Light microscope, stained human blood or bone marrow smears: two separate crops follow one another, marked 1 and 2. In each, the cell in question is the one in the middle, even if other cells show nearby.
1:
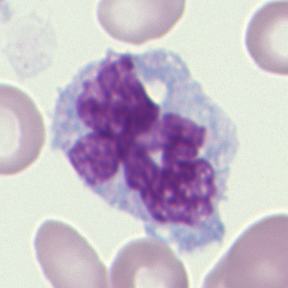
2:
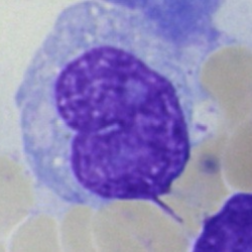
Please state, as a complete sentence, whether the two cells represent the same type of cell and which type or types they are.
Yes, for both crops, the central cells are monocytes.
